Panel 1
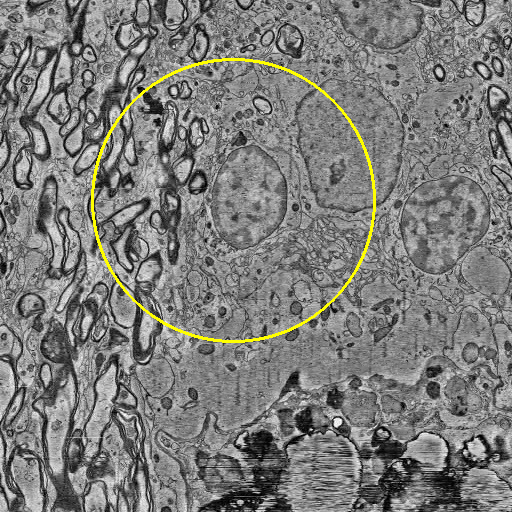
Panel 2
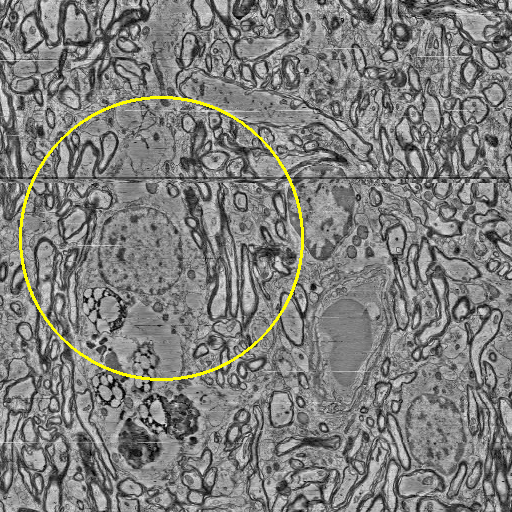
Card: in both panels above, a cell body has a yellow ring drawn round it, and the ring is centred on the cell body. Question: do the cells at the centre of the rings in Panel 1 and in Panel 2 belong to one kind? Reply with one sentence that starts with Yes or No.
No, the cells centred in the rings of Panel 1 and Panel 2 are two kinds of cell.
